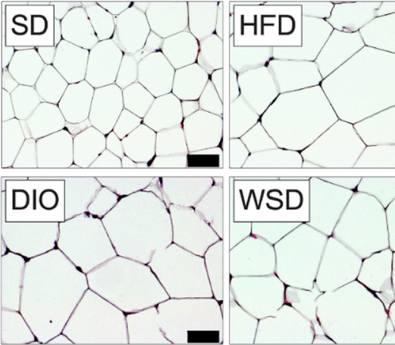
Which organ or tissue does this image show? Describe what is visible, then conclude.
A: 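Tissue made entirely of large, closely packed, empty-looking polygonal cells. Very little tissue between the cells.
White adipose tissue.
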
